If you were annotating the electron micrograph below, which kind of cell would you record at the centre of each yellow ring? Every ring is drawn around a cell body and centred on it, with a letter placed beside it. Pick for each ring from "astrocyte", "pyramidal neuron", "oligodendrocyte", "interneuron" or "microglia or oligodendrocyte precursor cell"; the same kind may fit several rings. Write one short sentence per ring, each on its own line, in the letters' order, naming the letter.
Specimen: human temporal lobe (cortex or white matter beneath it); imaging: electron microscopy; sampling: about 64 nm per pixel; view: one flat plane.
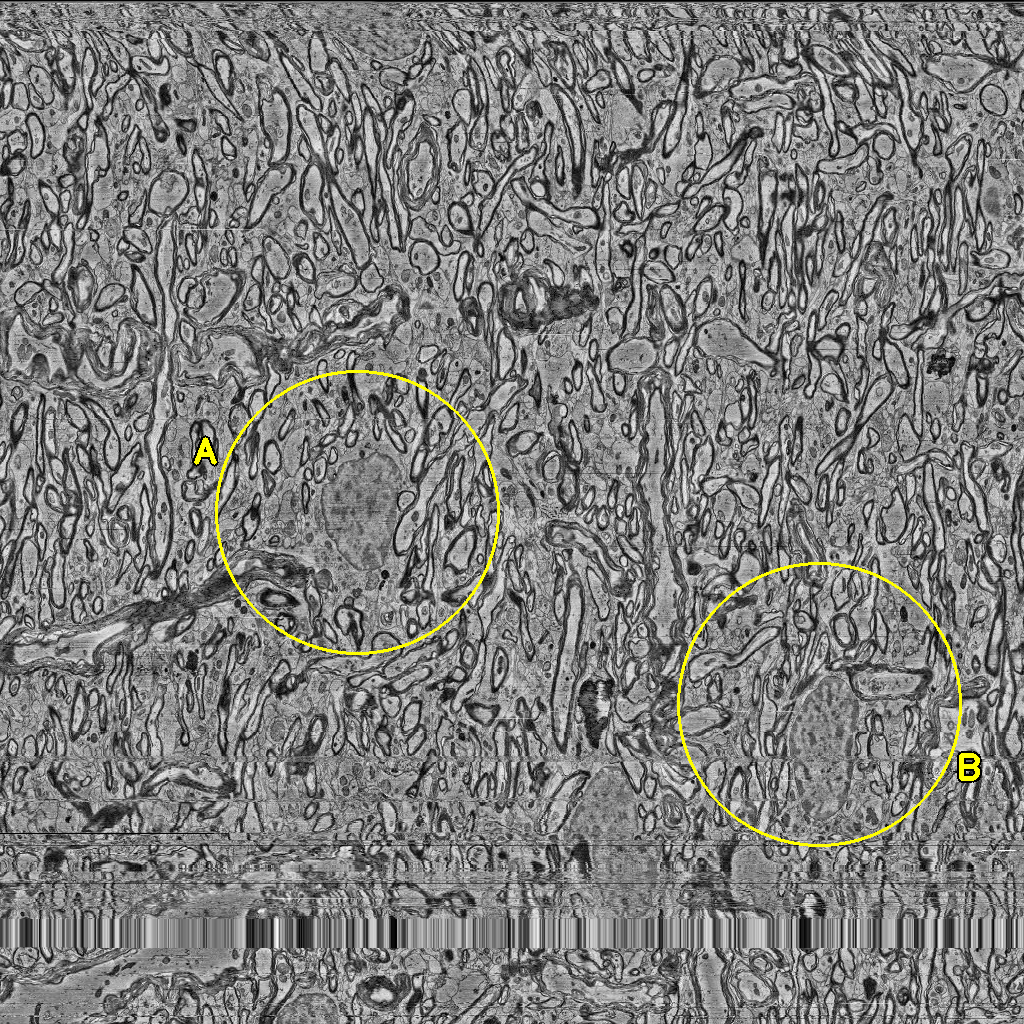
For ring A, I would record an oligodendrocyte.
For ring B, I would record a microglial cell or oligodendrocyte precursor cell.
